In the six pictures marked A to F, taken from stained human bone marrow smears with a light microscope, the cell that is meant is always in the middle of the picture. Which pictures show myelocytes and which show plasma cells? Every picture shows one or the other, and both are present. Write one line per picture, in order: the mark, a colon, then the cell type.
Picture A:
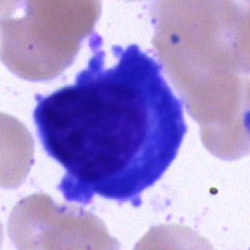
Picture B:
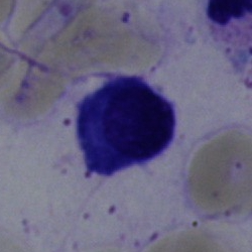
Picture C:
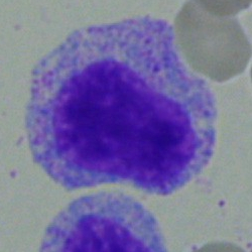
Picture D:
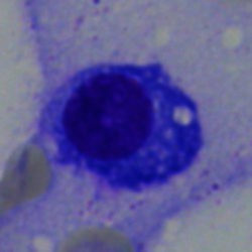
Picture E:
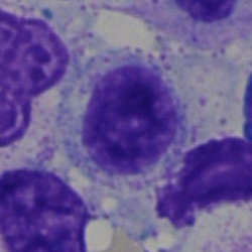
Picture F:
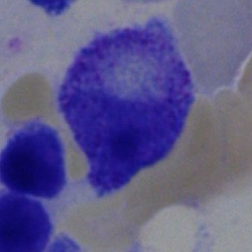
A: plasma cell
B: plasma cell
C: myelocyte
D: plasma cell
E: myelocyte
F: myelocyte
